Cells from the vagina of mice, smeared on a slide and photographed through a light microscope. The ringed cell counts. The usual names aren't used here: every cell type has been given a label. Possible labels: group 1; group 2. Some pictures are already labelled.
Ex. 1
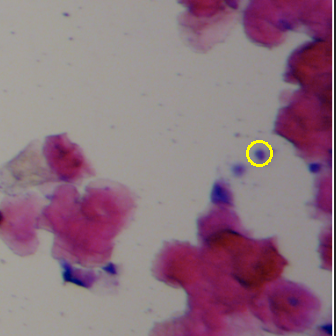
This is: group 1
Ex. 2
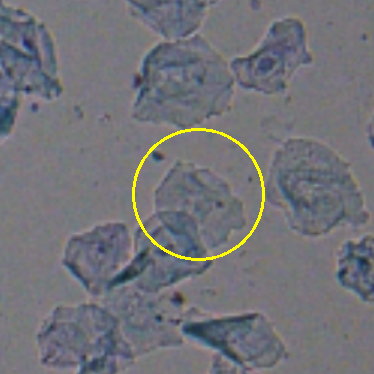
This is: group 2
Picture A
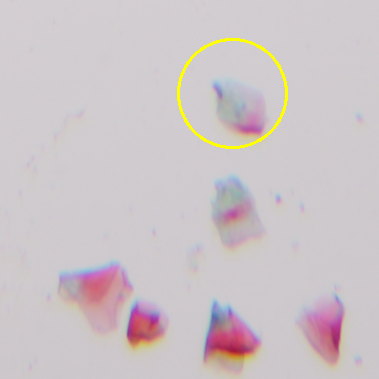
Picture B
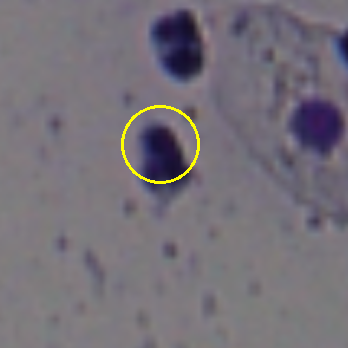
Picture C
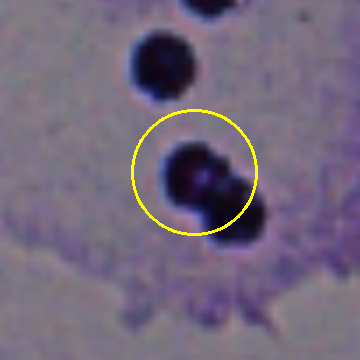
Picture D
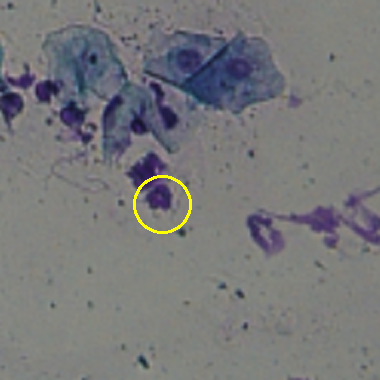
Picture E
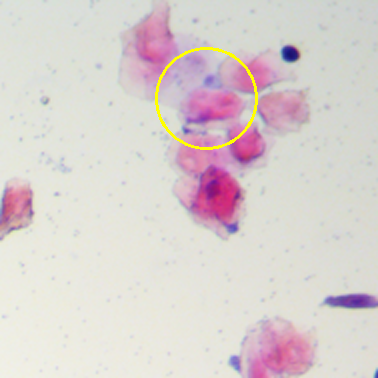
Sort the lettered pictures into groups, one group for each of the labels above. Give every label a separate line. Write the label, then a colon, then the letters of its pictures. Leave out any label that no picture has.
group 1: B, C, D
group 2: A, E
